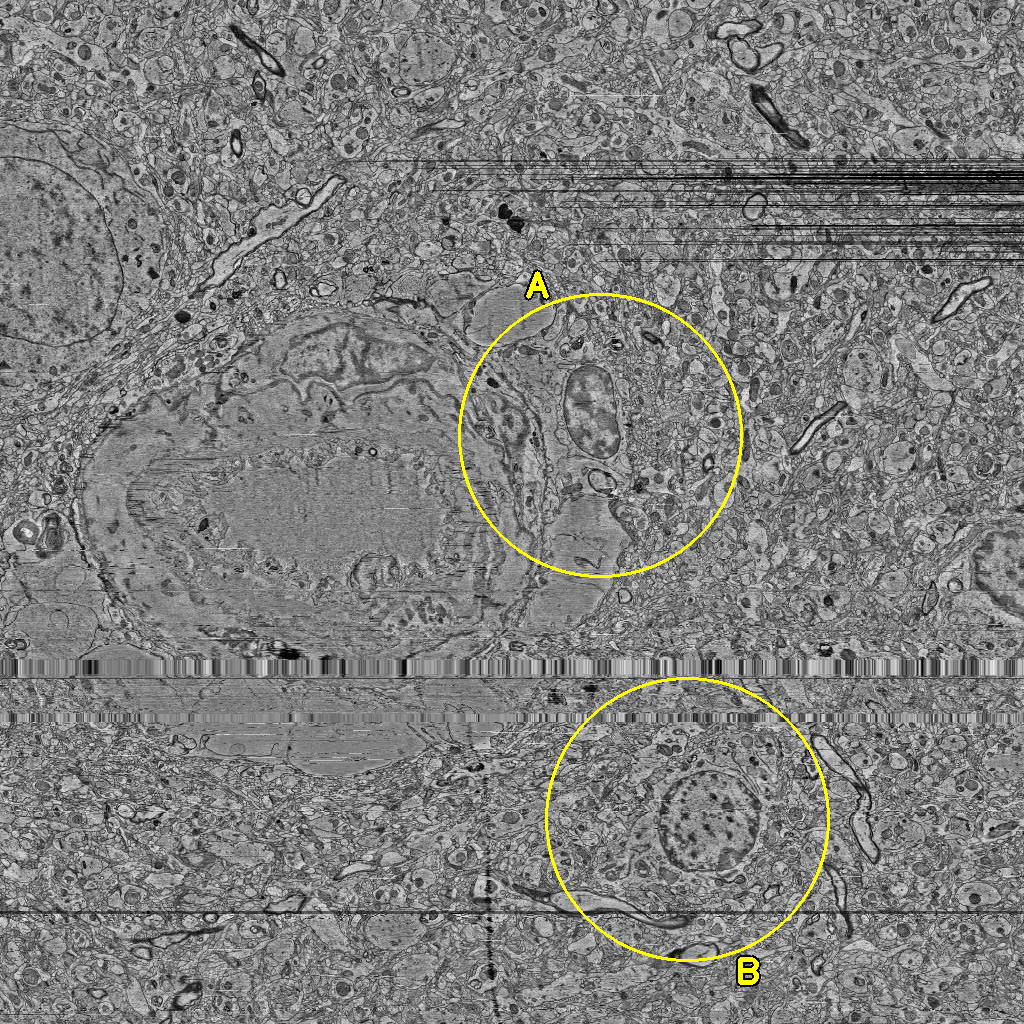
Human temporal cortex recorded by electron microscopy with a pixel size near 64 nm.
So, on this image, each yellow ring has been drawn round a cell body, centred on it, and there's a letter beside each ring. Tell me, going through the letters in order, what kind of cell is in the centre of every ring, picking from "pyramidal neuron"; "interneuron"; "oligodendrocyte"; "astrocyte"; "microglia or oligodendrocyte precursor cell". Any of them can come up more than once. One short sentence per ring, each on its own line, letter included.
Ring A has been drawn round a microglial cell or oligodendrocyte precursor cell.
Ring B has been drawn round an astrocyte.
